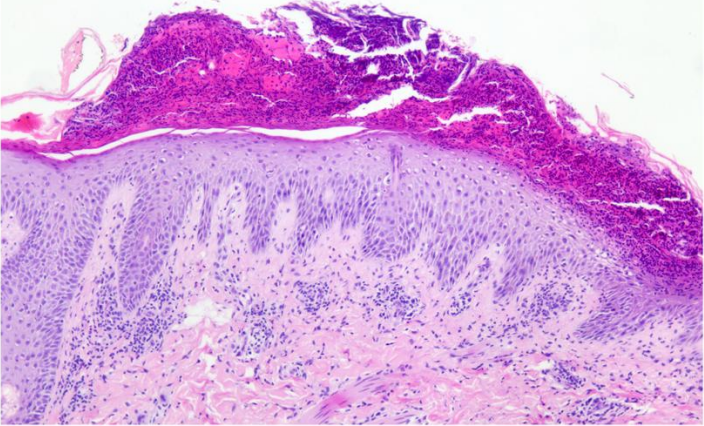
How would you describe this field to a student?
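This section of skin shows a thickened epidermis topped by a large collection of inflammatory cells forming a pustule. The collection sits above the living epidermal layers and consists of densely packed small dark-purple nuclei mixed with pink material, split by clefts. Below it, the epidermis is thickened, and its rete ridges extend downward as elongated pale-purple tongues of squamous cells. In the underlying pink dermis, small clusters of dark nuclei gather around vessels in the upper dermis.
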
